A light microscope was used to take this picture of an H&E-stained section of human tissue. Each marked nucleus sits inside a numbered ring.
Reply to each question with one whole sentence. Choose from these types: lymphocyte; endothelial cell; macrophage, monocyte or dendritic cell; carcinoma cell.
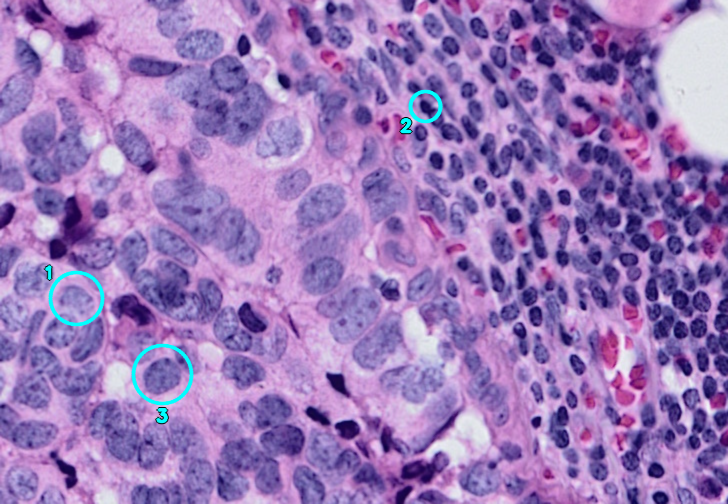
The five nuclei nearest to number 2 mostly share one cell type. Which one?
Most of the five nuclei nearest to number 2 are those of lymphocytes.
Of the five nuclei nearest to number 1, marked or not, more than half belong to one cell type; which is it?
Carcinoma cells make up most of the five nuclei closest to number 1.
